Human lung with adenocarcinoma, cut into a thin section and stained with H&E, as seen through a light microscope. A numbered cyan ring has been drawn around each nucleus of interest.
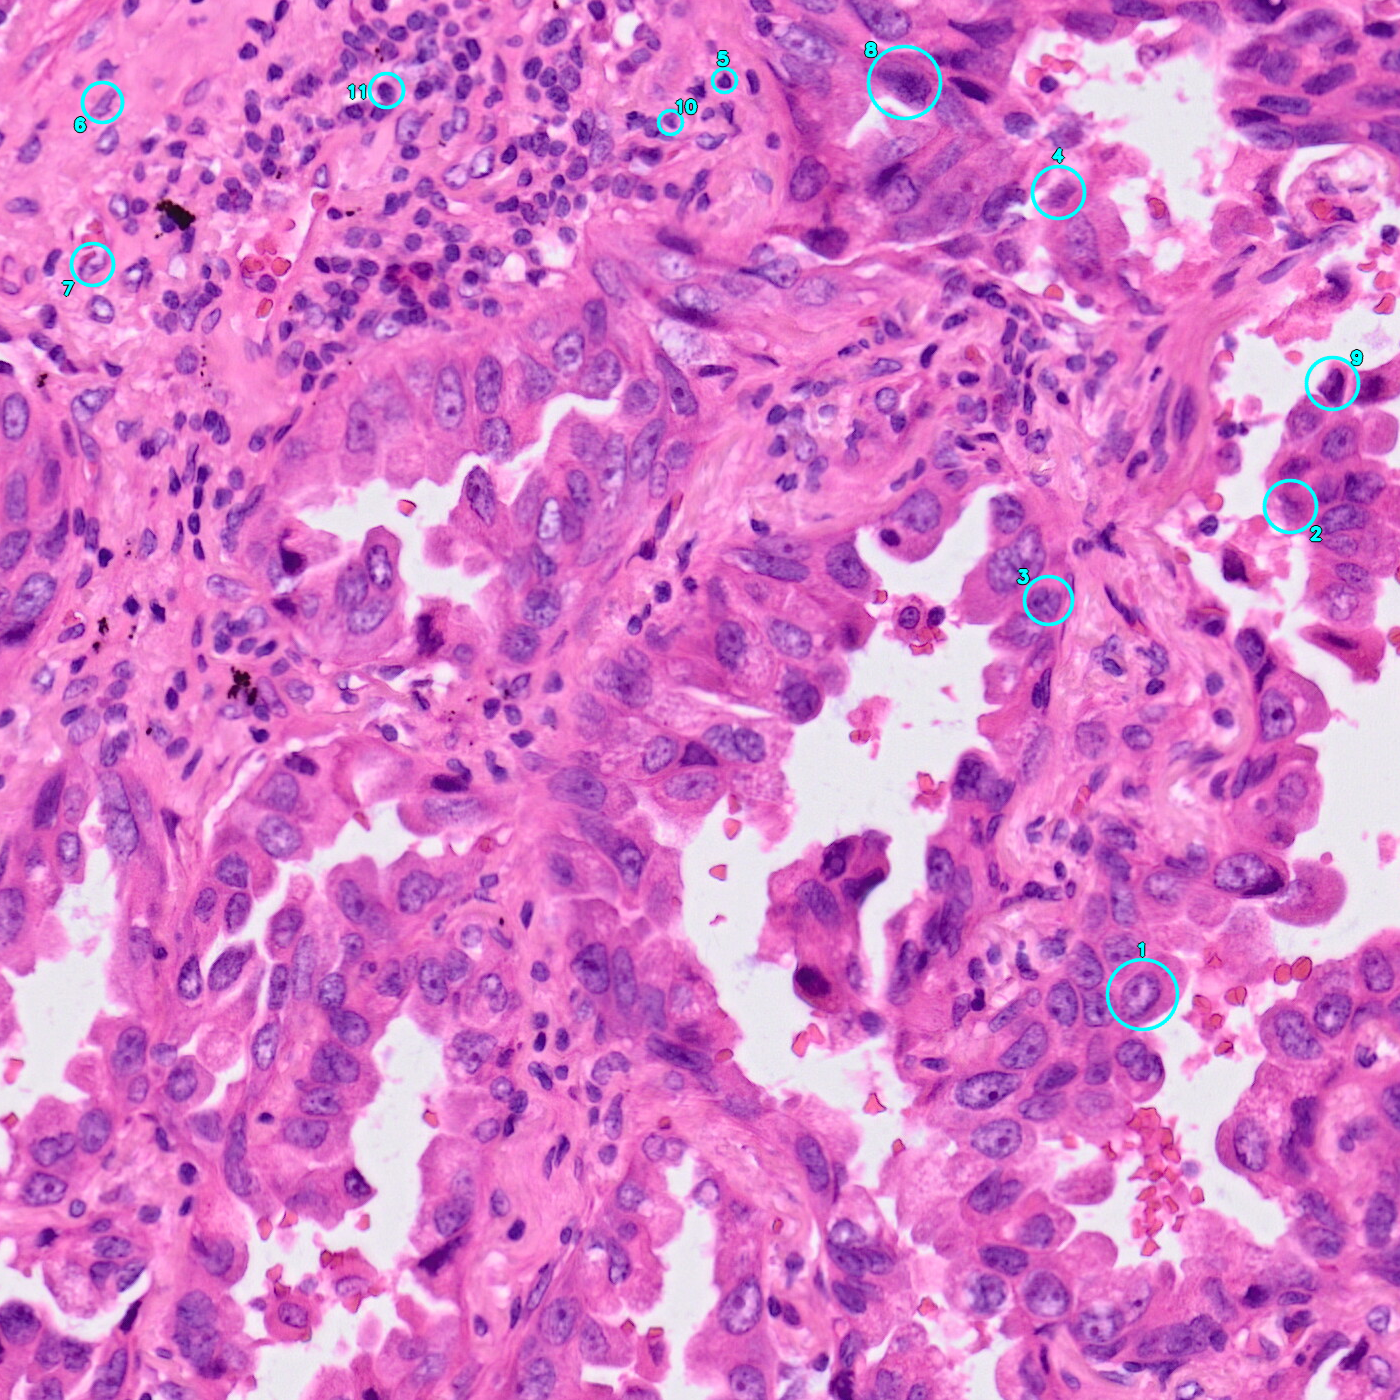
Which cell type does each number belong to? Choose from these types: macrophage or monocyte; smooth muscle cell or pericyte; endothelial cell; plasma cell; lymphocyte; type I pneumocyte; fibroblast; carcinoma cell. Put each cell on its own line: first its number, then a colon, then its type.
1: carcinoma cell
2: carcinoma cell
3: carcinoma cell
4: carcinoma cell
5: lymphocyte
6: fibroblast
7: endothelial cell
8: carcinoma cell
9: carcinoma cell
10: lymphocyte
11: lymphocyte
